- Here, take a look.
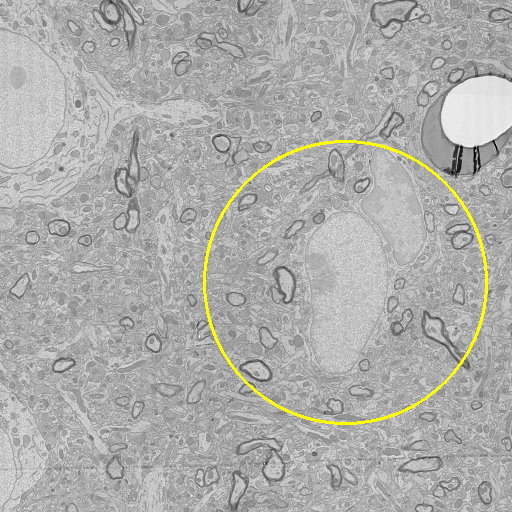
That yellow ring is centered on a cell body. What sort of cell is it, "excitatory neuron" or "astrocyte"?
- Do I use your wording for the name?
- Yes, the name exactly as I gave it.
astrocyte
